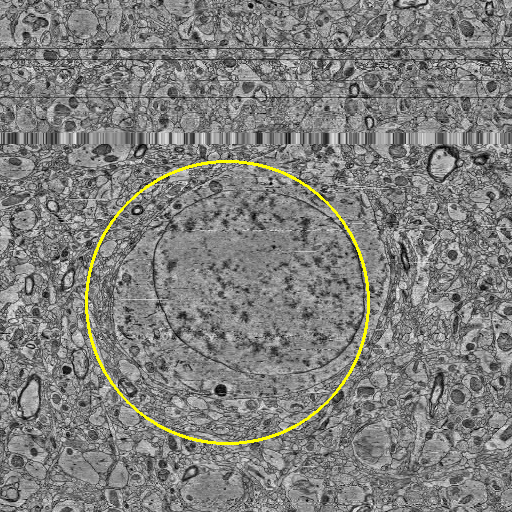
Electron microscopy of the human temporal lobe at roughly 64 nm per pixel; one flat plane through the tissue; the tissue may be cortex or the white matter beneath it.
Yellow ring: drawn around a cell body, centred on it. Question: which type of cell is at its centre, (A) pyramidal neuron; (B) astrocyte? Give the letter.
A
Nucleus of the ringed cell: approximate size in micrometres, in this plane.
In this plane, roughly 14 by 12 micrometres.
